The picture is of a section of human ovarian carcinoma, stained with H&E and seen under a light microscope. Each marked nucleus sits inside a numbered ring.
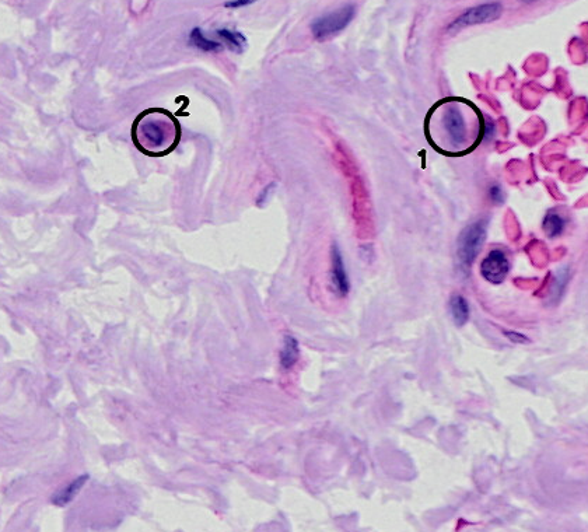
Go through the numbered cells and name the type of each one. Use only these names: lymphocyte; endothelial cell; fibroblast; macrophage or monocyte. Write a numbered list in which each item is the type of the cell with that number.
1. endothelial cell
2. macrophage or monocyte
